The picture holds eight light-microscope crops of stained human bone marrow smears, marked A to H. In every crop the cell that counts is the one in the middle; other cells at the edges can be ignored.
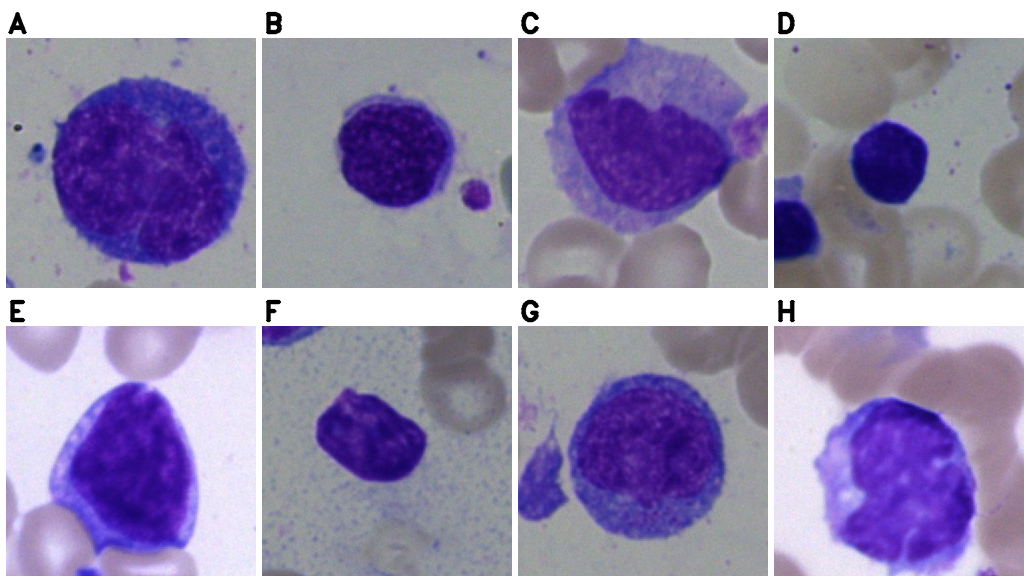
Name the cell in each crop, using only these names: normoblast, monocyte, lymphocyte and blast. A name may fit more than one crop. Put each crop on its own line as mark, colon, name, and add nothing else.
A: blast
B: lymphocyte
C: monocyte
D: lymphocyte
E: blast
F: lymphocyte
G: blast
H: monocyte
